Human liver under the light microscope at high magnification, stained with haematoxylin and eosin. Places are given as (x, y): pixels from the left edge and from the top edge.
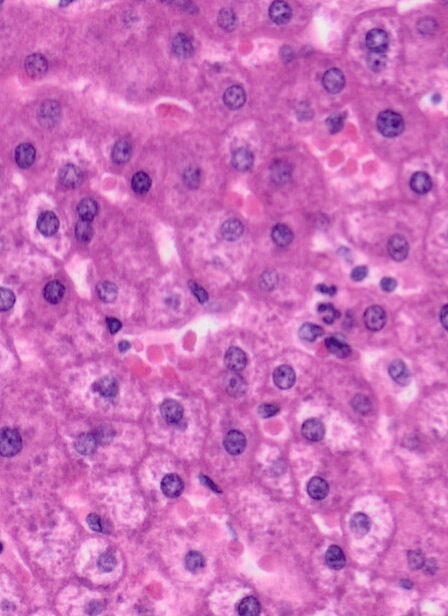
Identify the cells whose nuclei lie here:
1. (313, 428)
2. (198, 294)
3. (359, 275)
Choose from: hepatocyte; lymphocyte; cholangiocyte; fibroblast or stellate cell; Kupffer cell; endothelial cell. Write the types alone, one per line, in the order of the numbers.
hepatocyte
fibroblast or stellate cell
lymphocyte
